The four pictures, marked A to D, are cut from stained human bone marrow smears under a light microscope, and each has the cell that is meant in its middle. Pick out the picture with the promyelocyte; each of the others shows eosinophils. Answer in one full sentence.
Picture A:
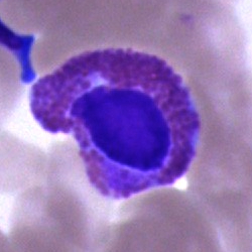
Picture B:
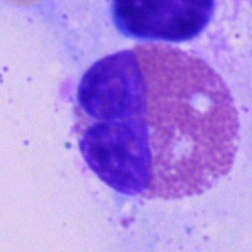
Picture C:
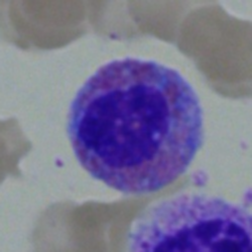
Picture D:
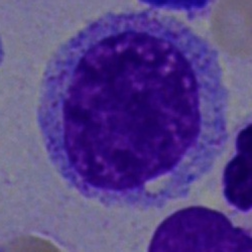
Picture D is the one that shows the promyelocyte.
